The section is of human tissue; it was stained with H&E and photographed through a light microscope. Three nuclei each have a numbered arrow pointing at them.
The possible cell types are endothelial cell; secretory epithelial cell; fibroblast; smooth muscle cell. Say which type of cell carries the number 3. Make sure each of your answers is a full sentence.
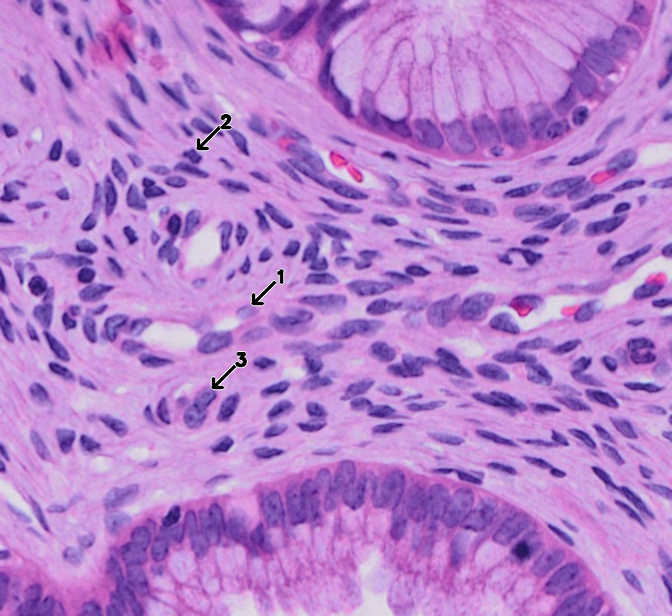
The nucleus labeled 3 belongs to an endothelial cell.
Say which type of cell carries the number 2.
Cell 2, as marked in the section, is a fibroblast.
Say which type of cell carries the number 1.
The cell tagged with 1 in this tissue section is an endothelial cell.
